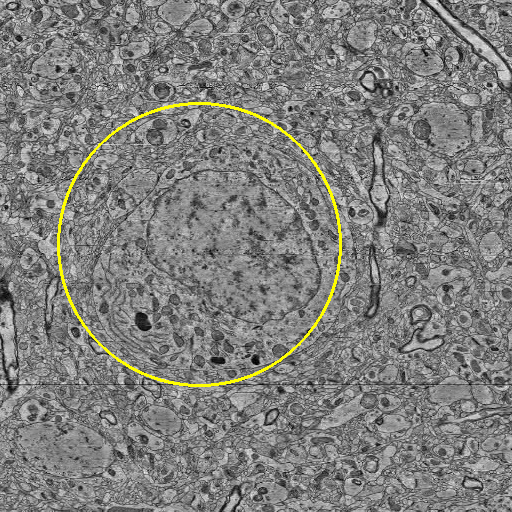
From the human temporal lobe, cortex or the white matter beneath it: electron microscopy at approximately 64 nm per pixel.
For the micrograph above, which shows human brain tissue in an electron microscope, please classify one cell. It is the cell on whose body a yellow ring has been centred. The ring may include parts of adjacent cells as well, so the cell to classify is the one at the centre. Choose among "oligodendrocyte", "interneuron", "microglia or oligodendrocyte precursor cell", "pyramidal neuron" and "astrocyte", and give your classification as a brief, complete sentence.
I classify this cell as an interneuron.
